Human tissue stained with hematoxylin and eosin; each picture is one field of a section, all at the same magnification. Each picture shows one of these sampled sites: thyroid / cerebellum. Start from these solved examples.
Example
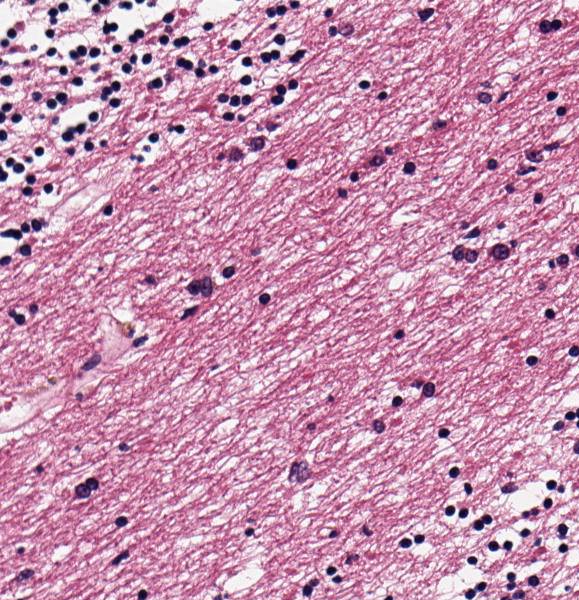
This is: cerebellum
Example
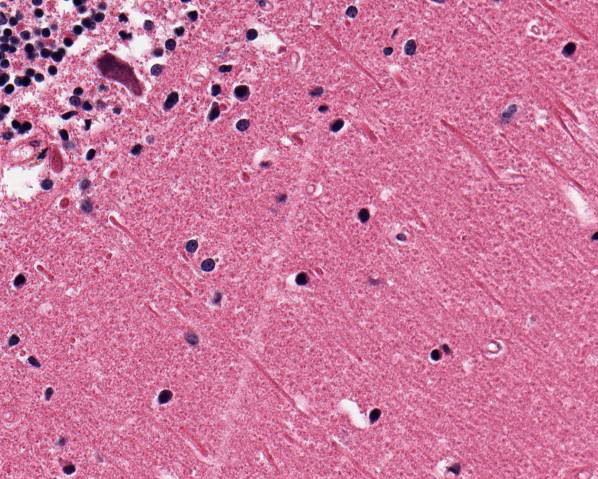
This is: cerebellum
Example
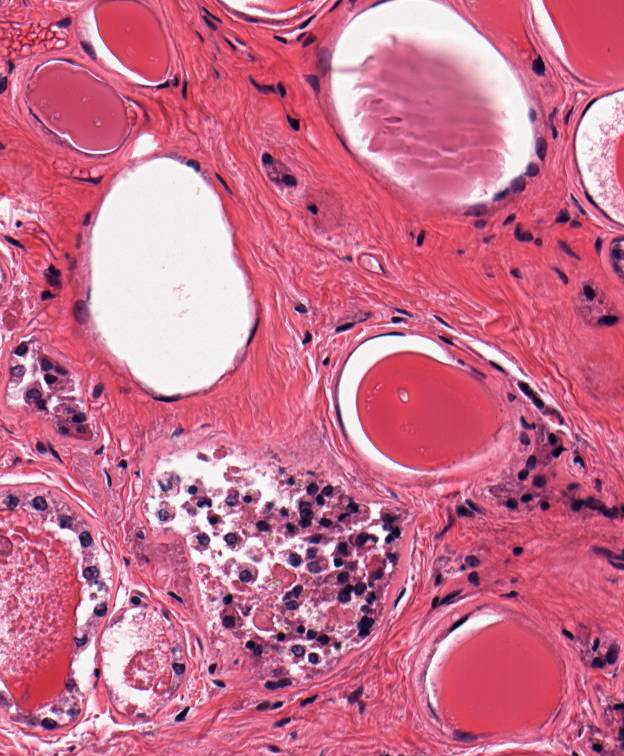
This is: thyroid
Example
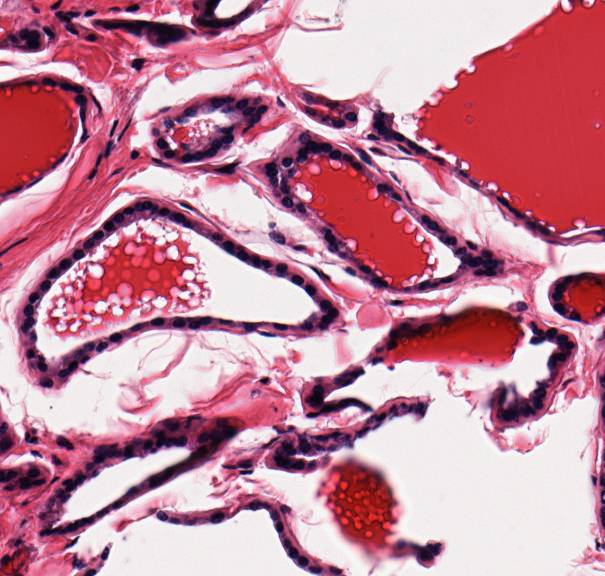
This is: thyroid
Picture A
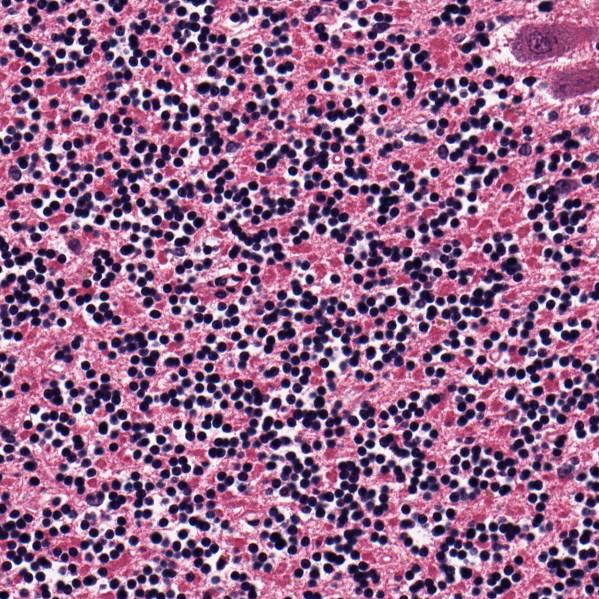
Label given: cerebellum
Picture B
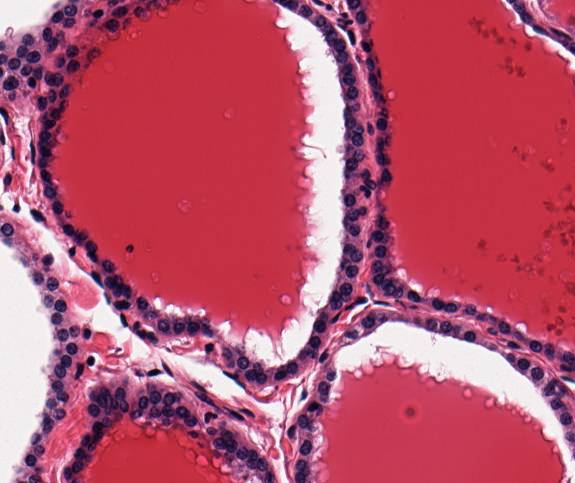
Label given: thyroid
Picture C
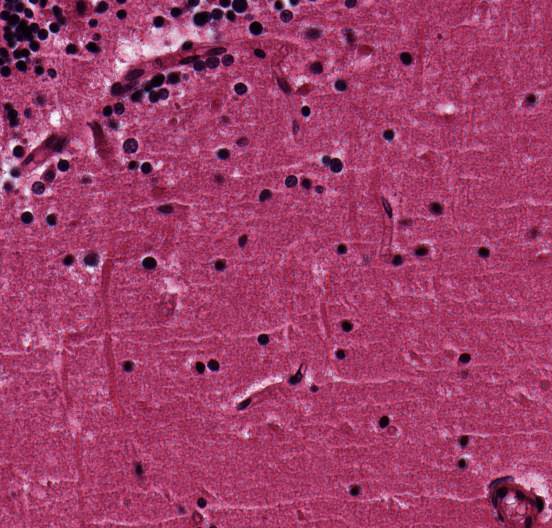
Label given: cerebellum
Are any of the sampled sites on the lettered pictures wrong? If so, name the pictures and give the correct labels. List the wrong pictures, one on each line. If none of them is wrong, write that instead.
Every label is right.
